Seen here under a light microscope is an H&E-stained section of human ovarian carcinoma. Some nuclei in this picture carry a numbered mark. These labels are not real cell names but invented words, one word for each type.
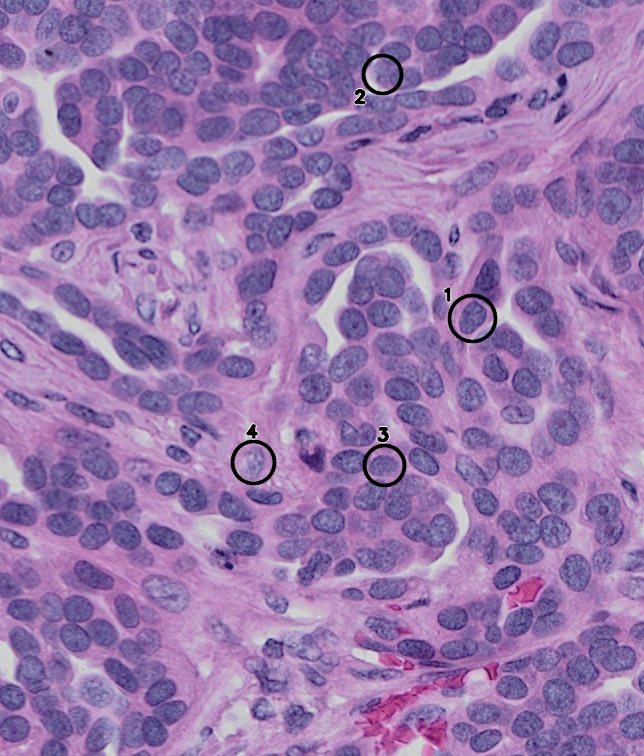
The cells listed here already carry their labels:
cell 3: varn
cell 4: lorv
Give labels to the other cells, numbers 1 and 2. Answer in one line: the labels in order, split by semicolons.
varn; varn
